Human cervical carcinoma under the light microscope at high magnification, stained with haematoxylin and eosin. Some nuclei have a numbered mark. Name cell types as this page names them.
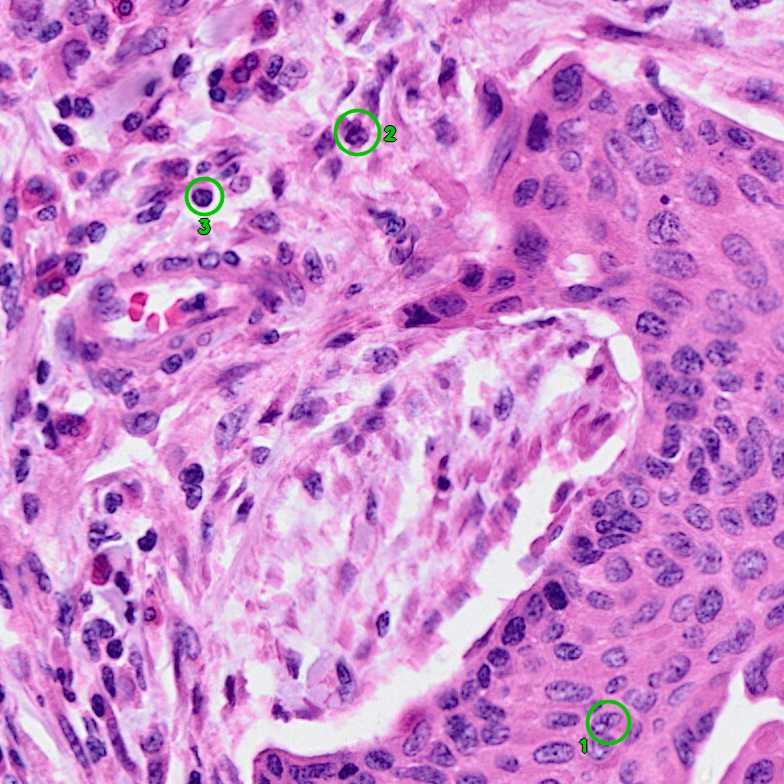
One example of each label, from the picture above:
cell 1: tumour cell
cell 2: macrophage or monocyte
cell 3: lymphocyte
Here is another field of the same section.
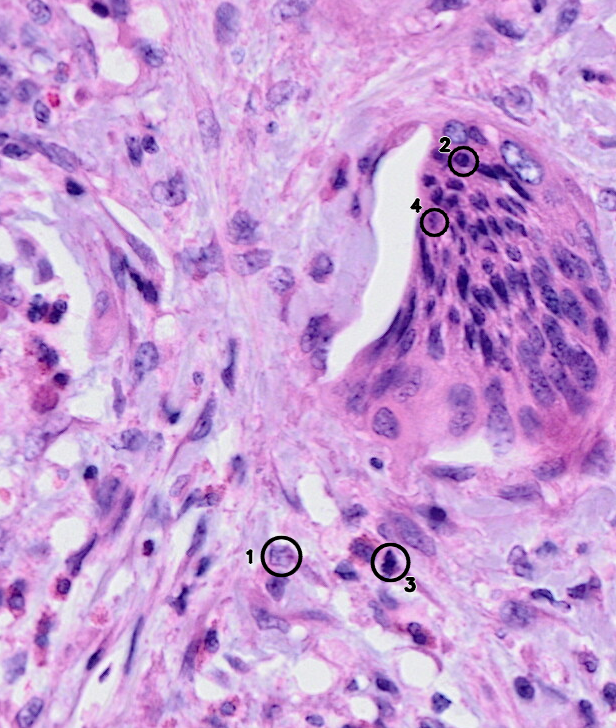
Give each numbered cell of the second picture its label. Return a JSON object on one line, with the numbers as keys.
{"1": "macrophage or monocyte", "2": "tumour cell", "3": "lymphocyte", "4": "tumour cell"}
